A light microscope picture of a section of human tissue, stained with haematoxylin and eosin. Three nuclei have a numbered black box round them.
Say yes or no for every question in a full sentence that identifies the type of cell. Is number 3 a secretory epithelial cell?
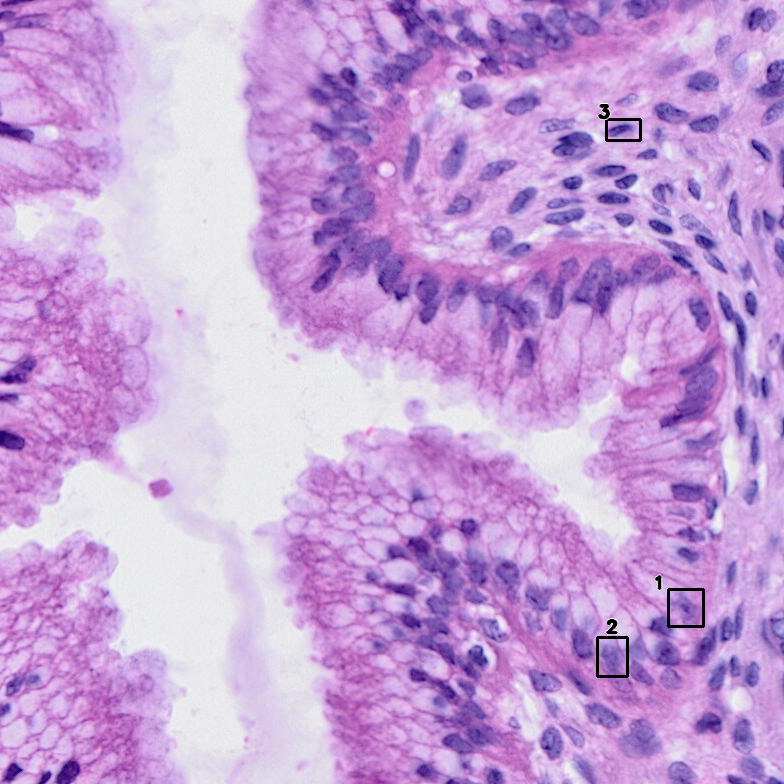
No, number 3 corresponds to a fibroblast, not a secretory epithelial cell.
